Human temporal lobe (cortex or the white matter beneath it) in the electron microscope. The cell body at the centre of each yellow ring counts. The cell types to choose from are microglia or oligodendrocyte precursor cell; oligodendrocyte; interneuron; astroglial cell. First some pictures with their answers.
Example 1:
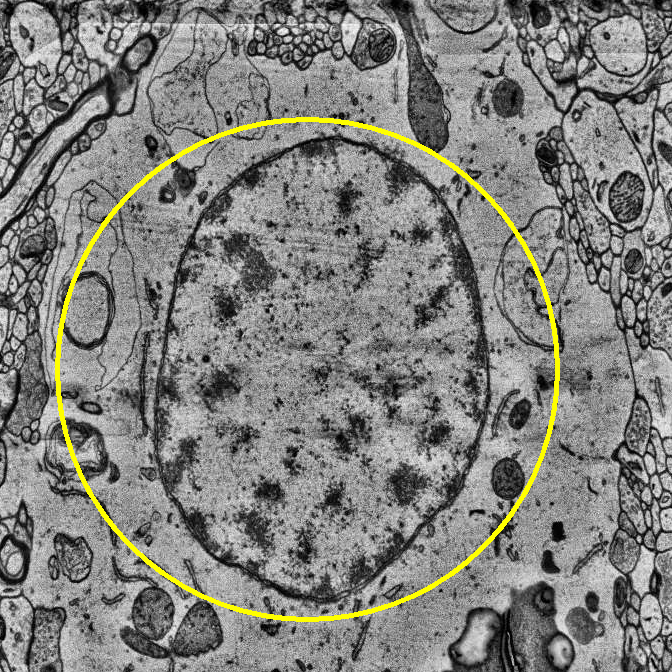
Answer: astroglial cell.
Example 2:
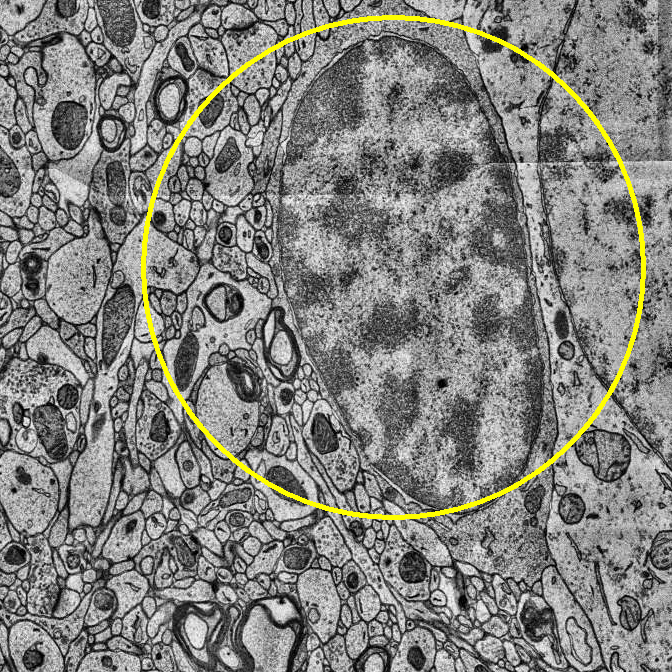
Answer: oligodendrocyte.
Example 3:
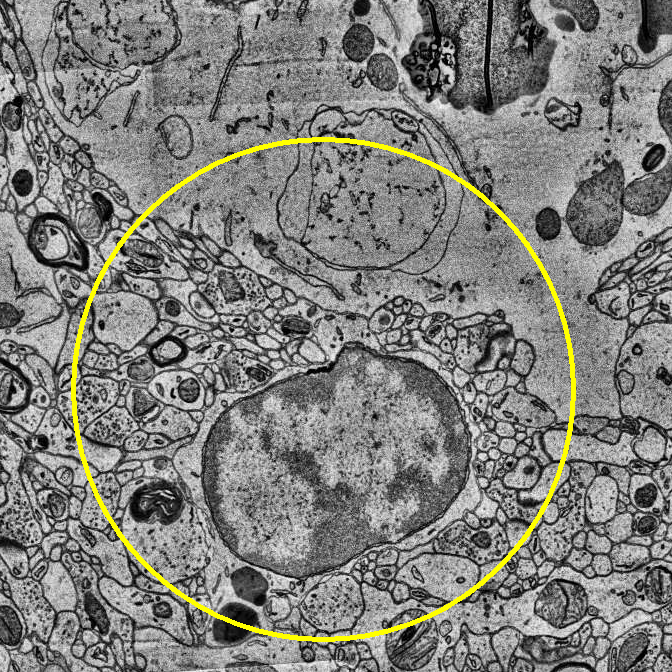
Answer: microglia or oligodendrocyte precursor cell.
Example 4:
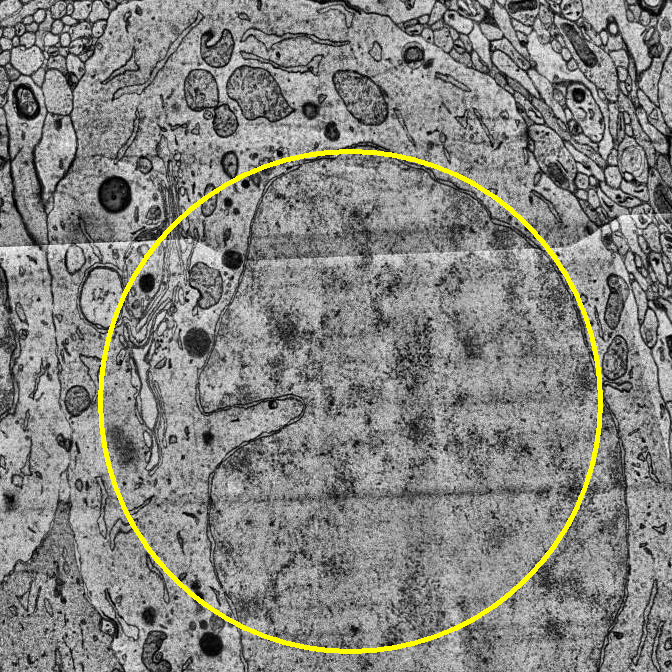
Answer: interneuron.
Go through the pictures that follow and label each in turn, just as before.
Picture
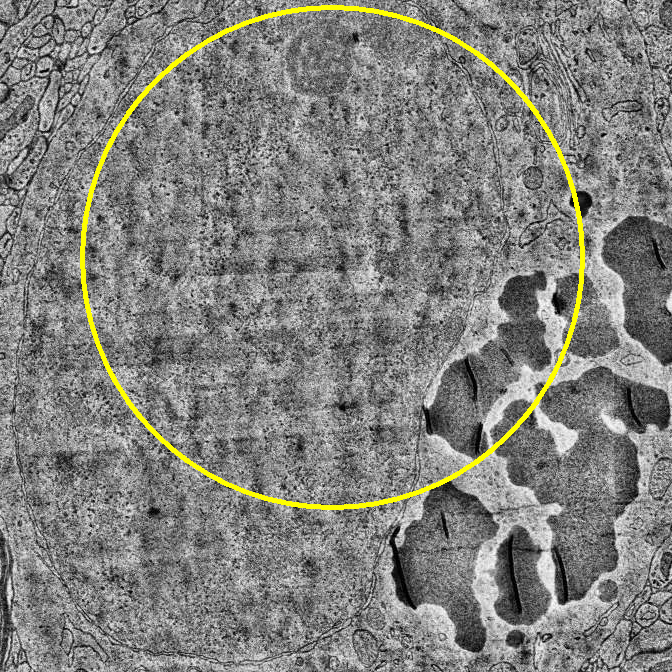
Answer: interneuron.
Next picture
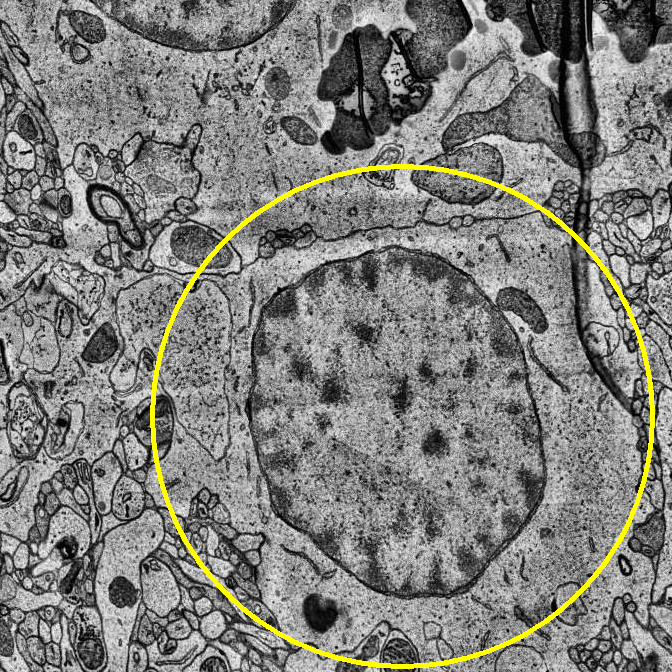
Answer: astroglial cell.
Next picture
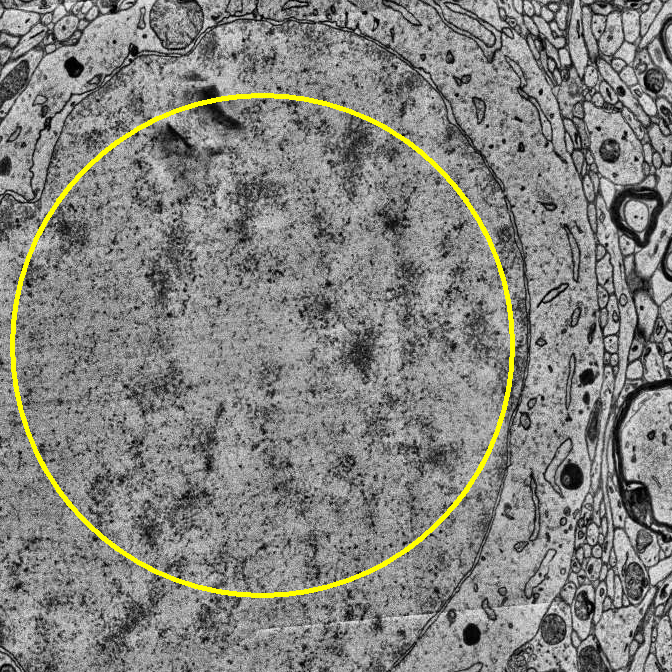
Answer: interneuron.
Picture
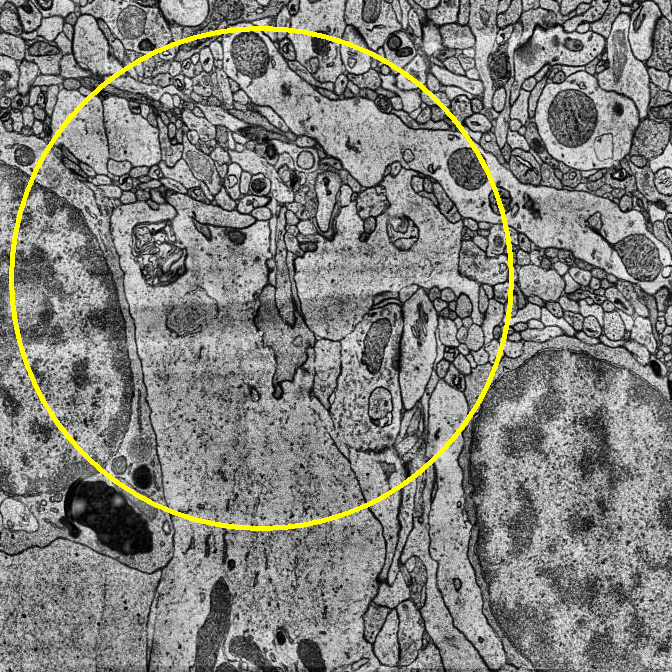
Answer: oligodendrocyte.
